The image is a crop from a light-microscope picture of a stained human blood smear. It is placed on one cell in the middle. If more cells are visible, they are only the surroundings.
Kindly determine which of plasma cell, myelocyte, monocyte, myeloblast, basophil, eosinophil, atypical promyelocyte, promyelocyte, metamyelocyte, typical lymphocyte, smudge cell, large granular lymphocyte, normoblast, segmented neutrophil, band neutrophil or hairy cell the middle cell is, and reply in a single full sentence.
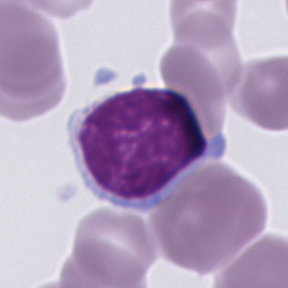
The cell in the middle of this crop is a large granular lymphocyte.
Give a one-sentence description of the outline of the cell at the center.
No smooth contour is present; the border is ragged or extended into projections.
